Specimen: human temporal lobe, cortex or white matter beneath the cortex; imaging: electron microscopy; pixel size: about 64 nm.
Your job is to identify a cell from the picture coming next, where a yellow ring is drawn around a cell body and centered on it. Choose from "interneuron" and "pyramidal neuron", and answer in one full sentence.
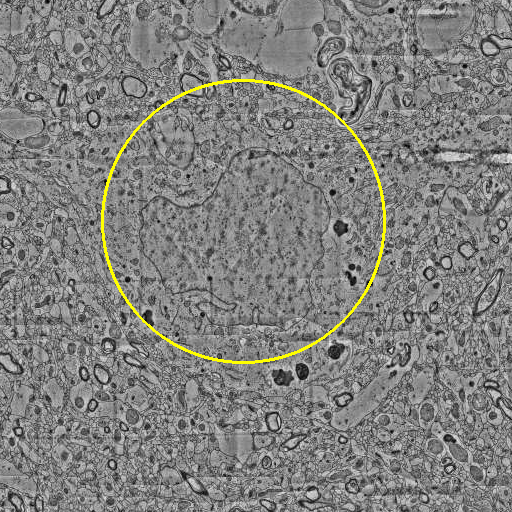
Centered in the yellow ring of the picture is the body of a pyramidal neuron.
